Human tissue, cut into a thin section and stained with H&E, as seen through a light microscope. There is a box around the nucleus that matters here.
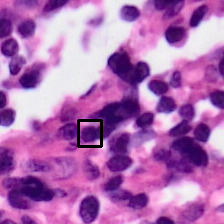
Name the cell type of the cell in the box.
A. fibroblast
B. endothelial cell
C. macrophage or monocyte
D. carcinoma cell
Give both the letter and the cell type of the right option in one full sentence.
On this slide, the cell in the box is a carcinoma cell, so option D is right.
